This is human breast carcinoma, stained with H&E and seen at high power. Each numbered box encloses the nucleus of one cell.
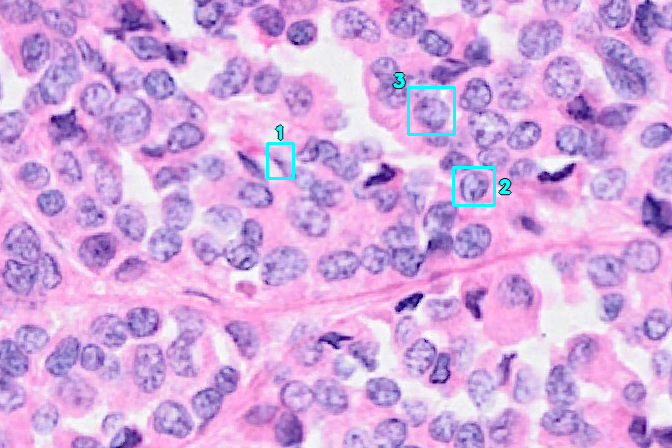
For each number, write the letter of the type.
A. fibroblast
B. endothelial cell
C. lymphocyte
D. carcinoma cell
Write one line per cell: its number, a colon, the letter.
1: B
2: D
3: D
